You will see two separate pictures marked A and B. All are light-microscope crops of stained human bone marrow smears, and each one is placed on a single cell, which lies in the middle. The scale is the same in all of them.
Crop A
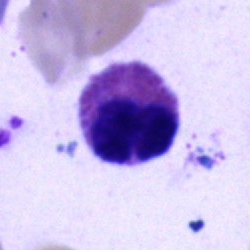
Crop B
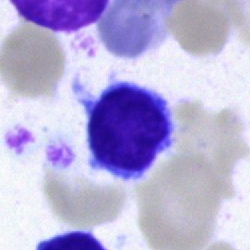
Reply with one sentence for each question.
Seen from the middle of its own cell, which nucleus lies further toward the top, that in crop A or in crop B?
The nucleus in crop B lies further toward the top of its cell.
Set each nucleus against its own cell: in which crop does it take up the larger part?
The nucleus fills more of the cell in crop B than in crop A.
